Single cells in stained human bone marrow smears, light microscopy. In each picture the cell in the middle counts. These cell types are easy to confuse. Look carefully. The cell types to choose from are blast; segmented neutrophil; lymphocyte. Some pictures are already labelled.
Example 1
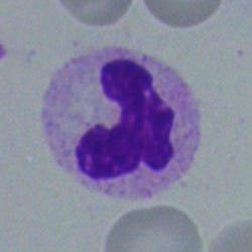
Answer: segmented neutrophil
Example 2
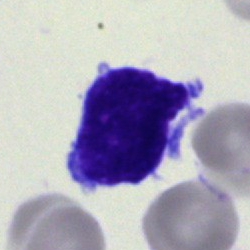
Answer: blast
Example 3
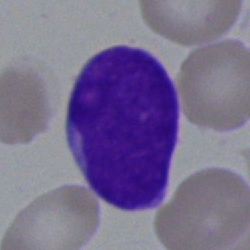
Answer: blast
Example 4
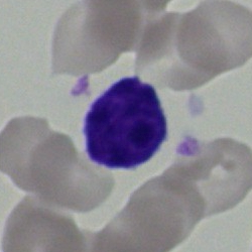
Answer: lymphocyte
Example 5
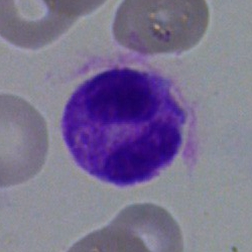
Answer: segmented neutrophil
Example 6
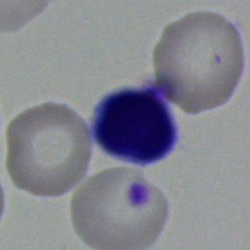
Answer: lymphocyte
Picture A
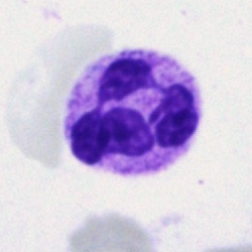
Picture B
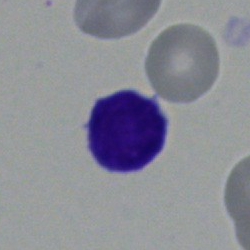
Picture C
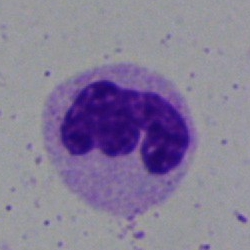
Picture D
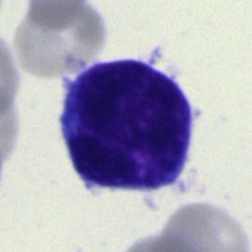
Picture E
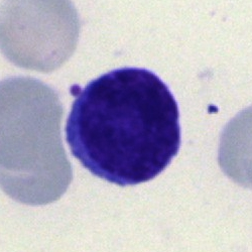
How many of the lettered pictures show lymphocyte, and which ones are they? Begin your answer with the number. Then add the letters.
Count: 2 (B, E)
